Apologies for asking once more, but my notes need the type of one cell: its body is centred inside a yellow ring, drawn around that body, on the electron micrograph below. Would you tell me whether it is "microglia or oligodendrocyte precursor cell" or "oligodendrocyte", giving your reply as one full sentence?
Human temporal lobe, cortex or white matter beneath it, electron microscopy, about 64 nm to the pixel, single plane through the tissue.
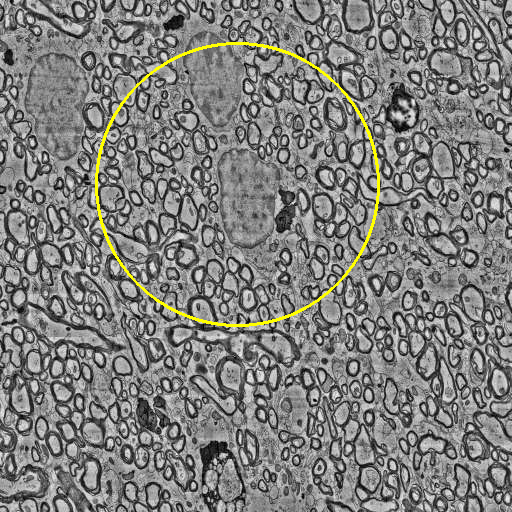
The cell that the yellow ring is centred on is an oligodendrocyte in this micrograph.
